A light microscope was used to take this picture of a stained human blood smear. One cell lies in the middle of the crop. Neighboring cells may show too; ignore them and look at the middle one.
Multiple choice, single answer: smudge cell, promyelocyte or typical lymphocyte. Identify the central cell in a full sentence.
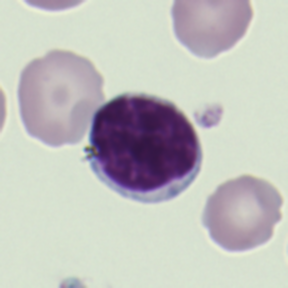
In this smear crop, the middle cell is a typical lymphocyte.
